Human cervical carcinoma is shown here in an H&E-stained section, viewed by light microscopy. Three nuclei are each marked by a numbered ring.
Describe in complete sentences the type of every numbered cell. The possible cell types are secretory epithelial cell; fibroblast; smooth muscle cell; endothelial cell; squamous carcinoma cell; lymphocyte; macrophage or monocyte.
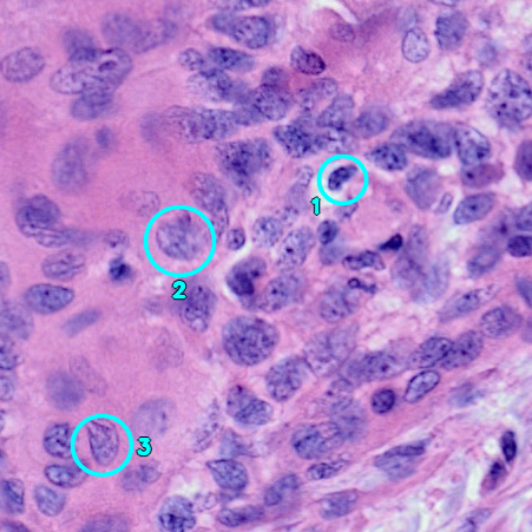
Cell 1 is a lymphocyte. Cells 2 and 3 are squamous carcinoma cells.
